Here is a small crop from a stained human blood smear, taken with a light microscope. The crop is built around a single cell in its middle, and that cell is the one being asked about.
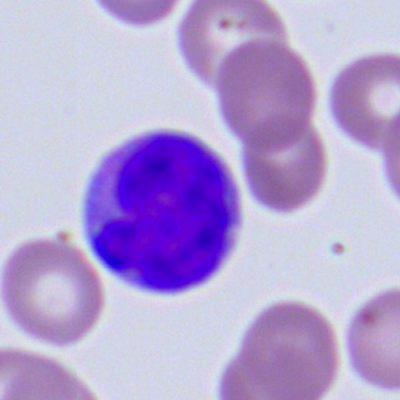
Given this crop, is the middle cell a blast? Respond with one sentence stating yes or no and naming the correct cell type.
No, the centered cell is a lymphocyte and not a blast at all.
